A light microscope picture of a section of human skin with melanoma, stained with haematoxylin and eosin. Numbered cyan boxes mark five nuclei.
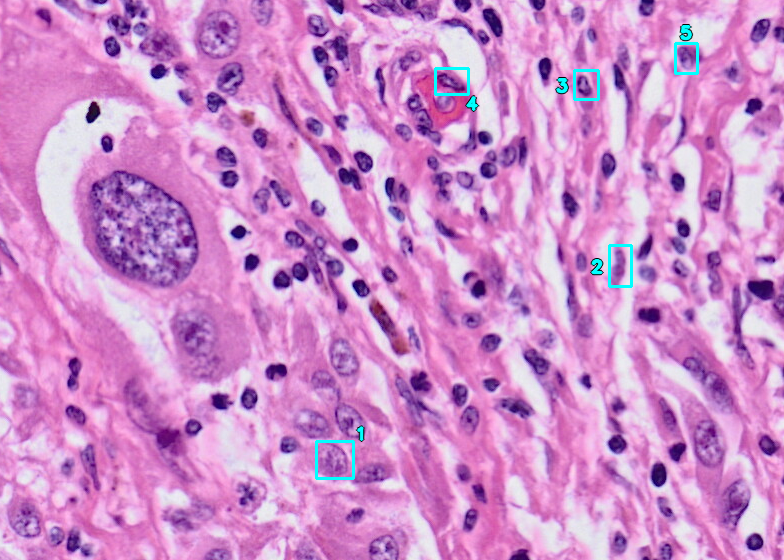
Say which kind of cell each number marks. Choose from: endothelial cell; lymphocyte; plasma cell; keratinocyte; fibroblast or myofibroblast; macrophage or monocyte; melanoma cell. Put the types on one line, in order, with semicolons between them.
melanoma cell; fibroblast or myofibroblast; plasma cell; endothelial cell; macrophage or monocyte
